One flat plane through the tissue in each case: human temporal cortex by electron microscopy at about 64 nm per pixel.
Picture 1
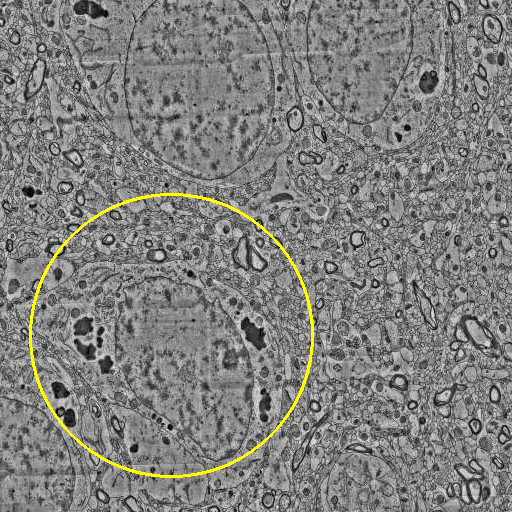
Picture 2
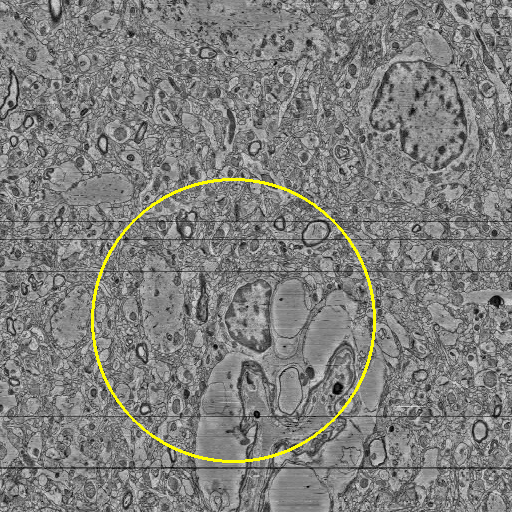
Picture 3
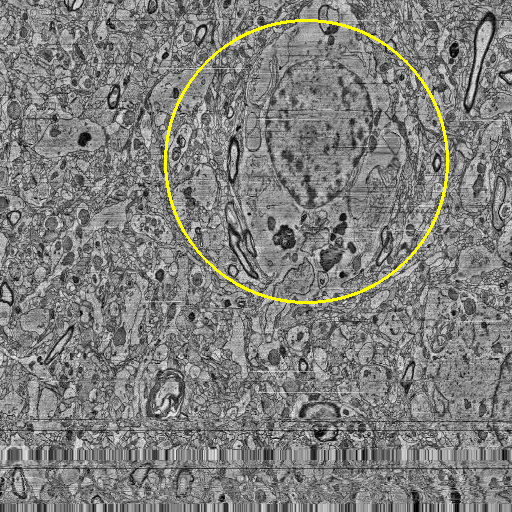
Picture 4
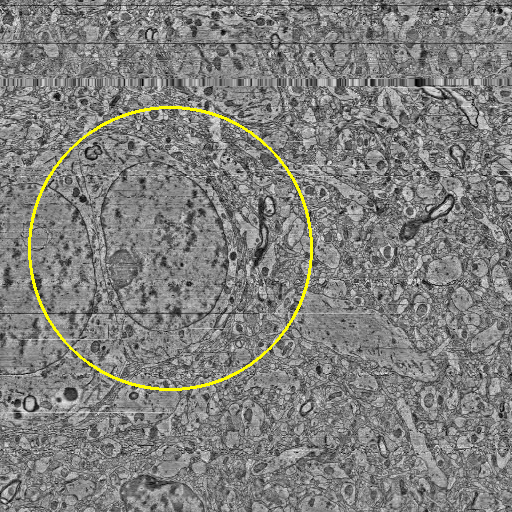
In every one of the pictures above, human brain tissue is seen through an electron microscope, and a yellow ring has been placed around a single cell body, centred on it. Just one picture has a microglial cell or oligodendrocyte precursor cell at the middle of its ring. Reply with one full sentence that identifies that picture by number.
It is picture 2 that shows the wanted cell at its ring's centre.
